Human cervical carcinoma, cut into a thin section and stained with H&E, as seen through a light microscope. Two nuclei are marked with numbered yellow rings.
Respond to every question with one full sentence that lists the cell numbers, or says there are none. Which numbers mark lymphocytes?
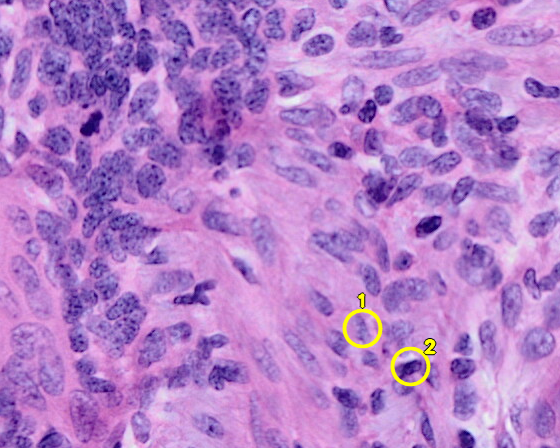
Among the marked cells, cell number 2 alone is a lymphocyte.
